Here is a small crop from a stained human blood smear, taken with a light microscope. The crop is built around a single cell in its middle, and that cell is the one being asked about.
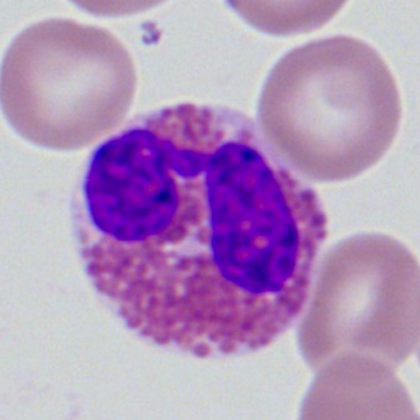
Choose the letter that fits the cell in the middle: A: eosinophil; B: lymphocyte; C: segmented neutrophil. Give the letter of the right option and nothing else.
A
